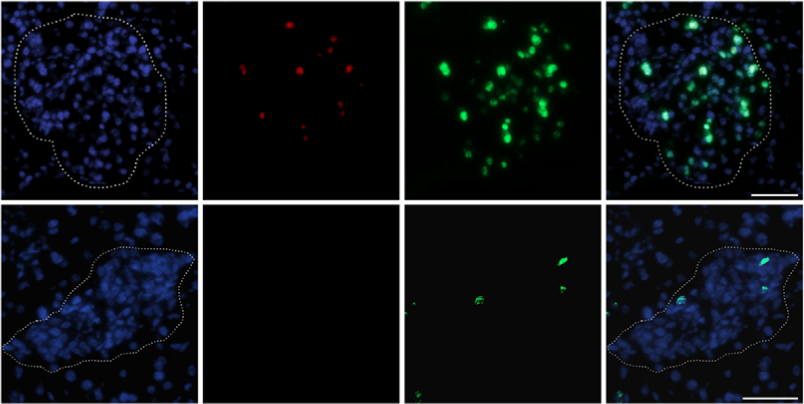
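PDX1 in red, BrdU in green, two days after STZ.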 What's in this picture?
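These are two pancreatic islets, each outlined by a dotted line, shown in blue-stained nuclei, red, green and merged channels. In the upper islet many nuclei inside the outline are brightly green, and a smaller number of nuclei are red. In the merged image of the upper islet, these green nuclei are scattered throughout the cluster. The lower islet shows no red nuclei and only a few green nuclei, mostly near its edge.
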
